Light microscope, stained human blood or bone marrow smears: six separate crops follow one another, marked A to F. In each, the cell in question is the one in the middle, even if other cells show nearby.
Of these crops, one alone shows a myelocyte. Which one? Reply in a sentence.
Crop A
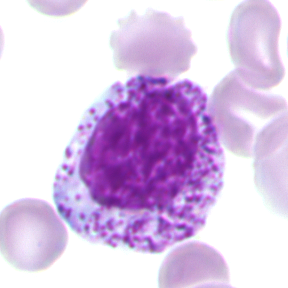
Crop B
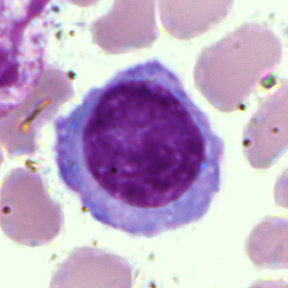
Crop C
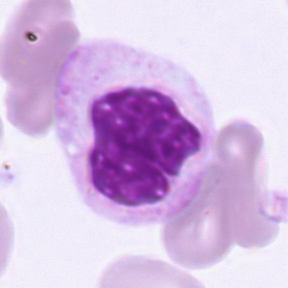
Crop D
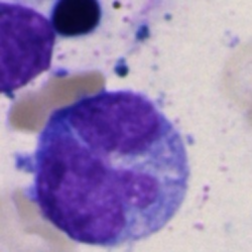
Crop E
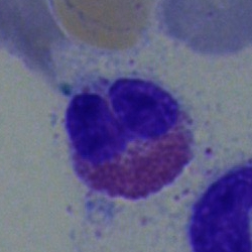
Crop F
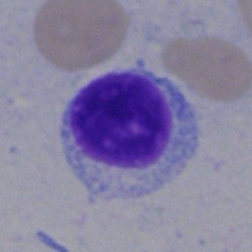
Crop A is the one in the set with a myelocyte at the center.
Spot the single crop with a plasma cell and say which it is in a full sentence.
Crop B is where a plasma cell is to be found.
